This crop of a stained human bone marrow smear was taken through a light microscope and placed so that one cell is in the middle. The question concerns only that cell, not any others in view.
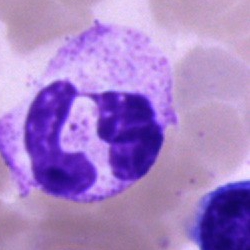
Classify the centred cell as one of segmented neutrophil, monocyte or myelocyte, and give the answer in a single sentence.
The cell under consideration, at the middle of the crop, is a segmented neutrophil.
